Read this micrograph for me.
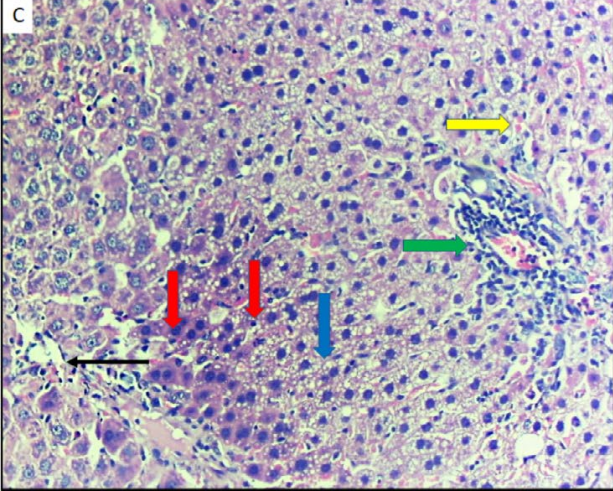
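Liver section with hepatocytes in disordered cords. Many hepatocytes have pale, foamy cytoplasm filled with small clear vacuoles. A portal area at the right is surrounded by a dense collection of small dark round nuclei. Spaces between cords contain pink-red blood cells in places.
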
